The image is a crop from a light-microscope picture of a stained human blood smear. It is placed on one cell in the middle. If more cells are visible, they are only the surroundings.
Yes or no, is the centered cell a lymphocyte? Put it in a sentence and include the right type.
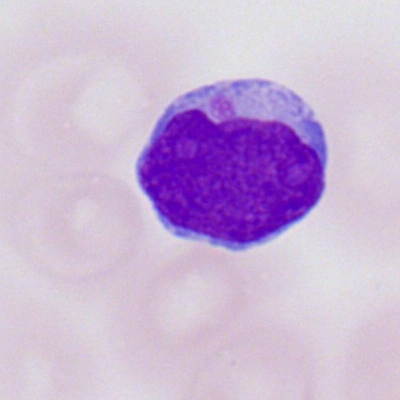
Yes, the cell shown in the middle is a lymphocyte.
